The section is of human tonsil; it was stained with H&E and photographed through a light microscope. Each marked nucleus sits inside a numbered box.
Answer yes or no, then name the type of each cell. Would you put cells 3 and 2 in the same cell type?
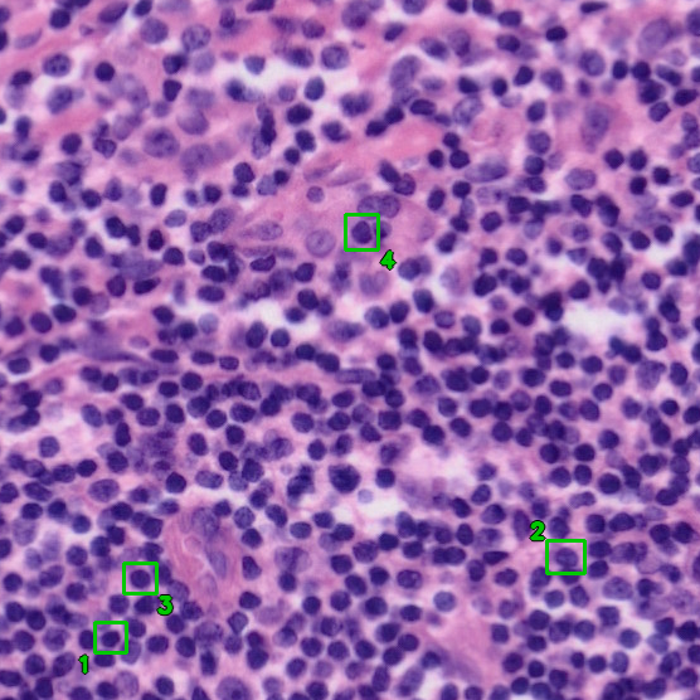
Yes, with respect to identity, cells 3 and 2 are both small lymphocytes.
